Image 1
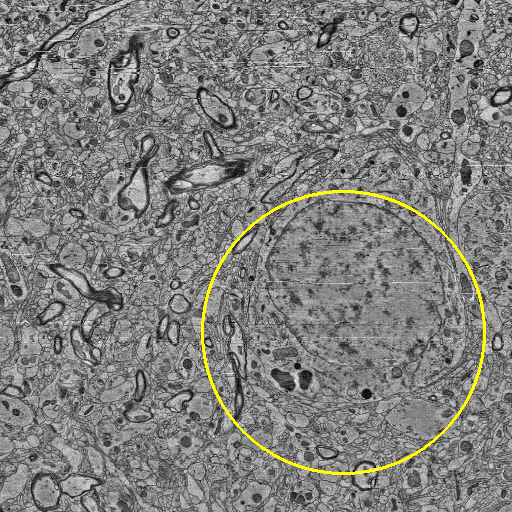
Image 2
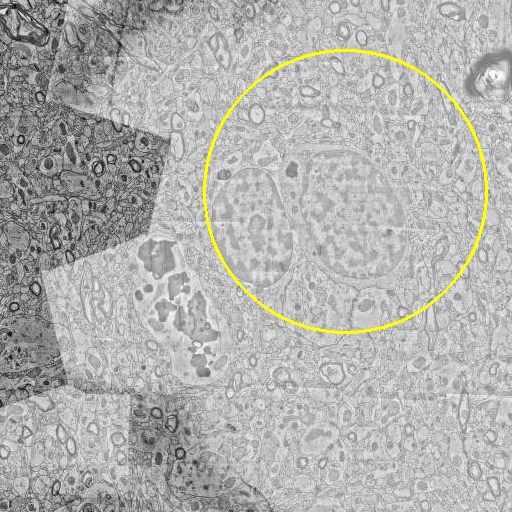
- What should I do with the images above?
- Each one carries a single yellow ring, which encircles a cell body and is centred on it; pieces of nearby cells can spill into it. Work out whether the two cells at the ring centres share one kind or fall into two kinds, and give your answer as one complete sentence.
The ring-centre cells of Image 1 and Image 2 fall into two kinds.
